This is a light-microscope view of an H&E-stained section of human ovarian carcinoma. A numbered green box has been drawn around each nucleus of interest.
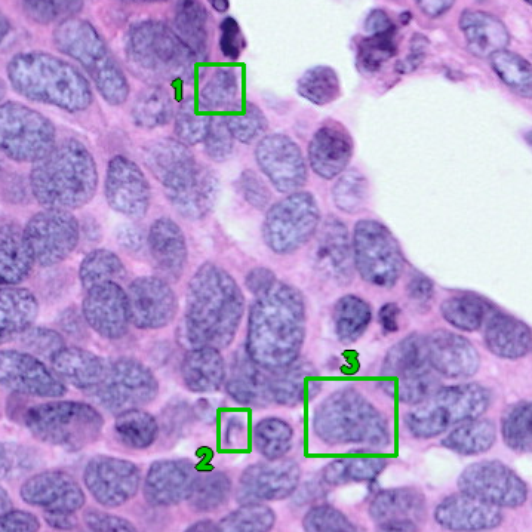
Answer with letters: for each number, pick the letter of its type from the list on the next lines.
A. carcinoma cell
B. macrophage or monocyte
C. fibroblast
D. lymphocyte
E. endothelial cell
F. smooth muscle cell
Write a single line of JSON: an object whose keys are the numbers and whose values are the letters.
{"1": "A", "2": "B", "3": "A"}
